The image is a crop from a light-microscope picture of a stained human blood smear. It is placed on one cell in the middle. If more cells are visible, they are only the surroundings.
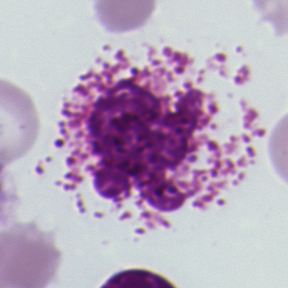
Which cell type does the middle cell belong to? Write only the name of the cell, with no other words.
basophil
